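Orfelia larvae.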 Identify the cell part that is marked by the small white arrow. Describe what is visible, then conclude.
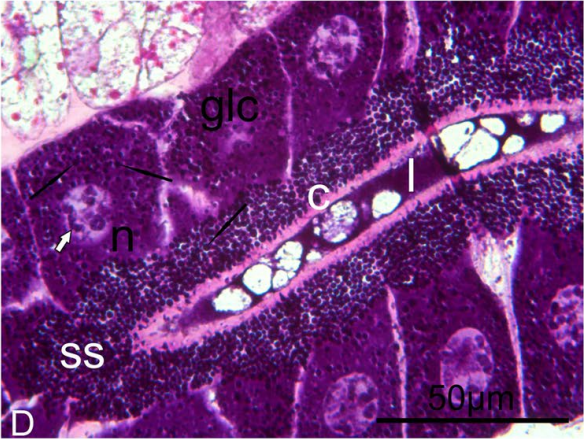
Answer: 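Polytenic chromosomes. The arrow points into a large, pale, rounded nucleus. The nucleus holds coarse, dark, clumped strands.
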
